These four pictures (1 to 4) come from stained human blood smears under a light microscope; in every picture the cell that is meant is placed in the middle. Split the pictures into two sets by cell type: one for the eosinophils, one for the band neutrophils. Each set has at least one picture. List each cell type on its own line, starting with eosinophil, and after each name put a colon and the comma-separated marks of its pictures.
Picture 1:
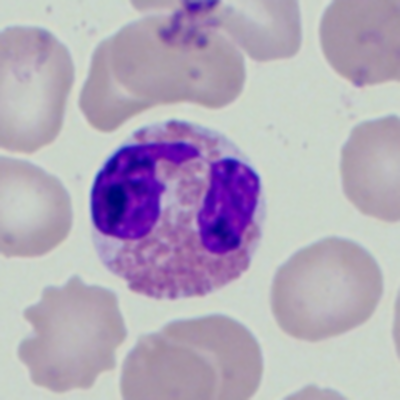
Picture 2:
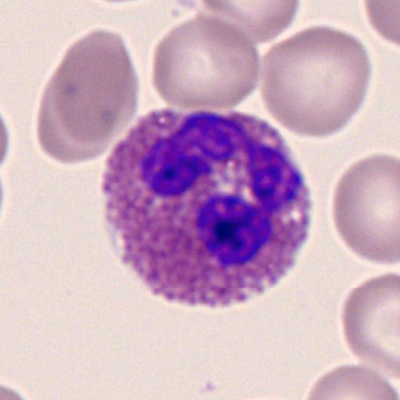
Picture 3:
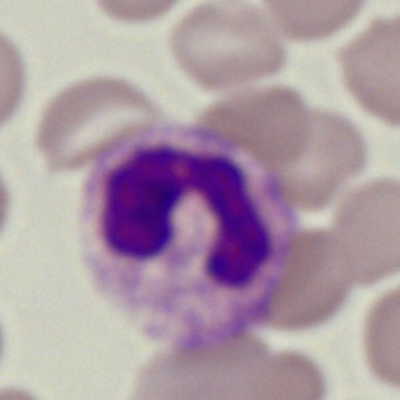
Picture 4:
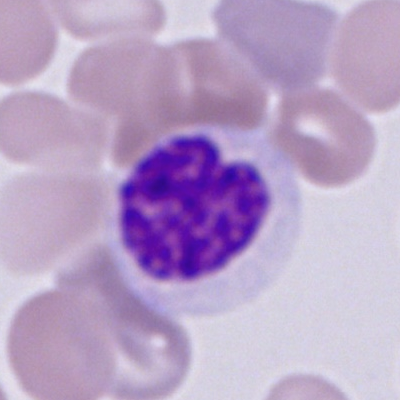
eosinophil: 1, 2
band neutrophil: 3, 4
